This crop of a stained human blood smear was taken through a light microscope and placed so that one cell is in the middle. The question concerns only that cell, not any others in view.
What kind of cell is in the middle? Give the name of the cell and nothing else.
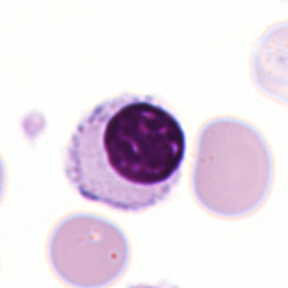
normoblast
